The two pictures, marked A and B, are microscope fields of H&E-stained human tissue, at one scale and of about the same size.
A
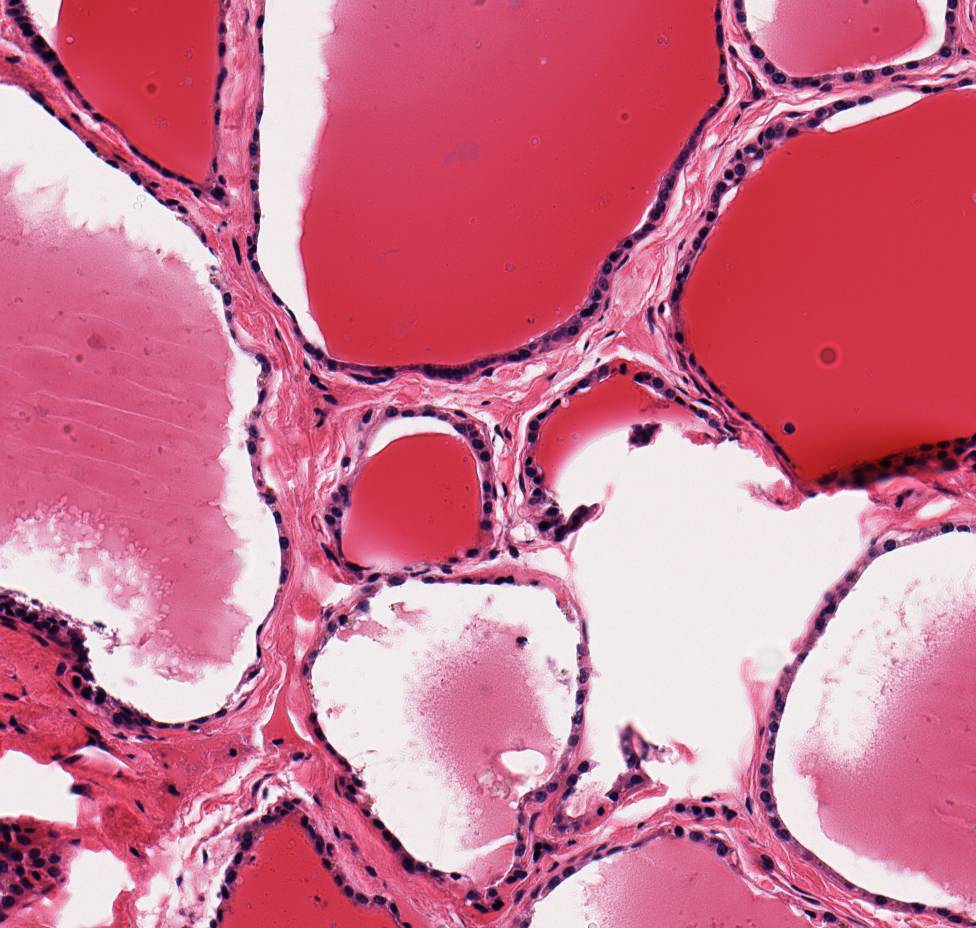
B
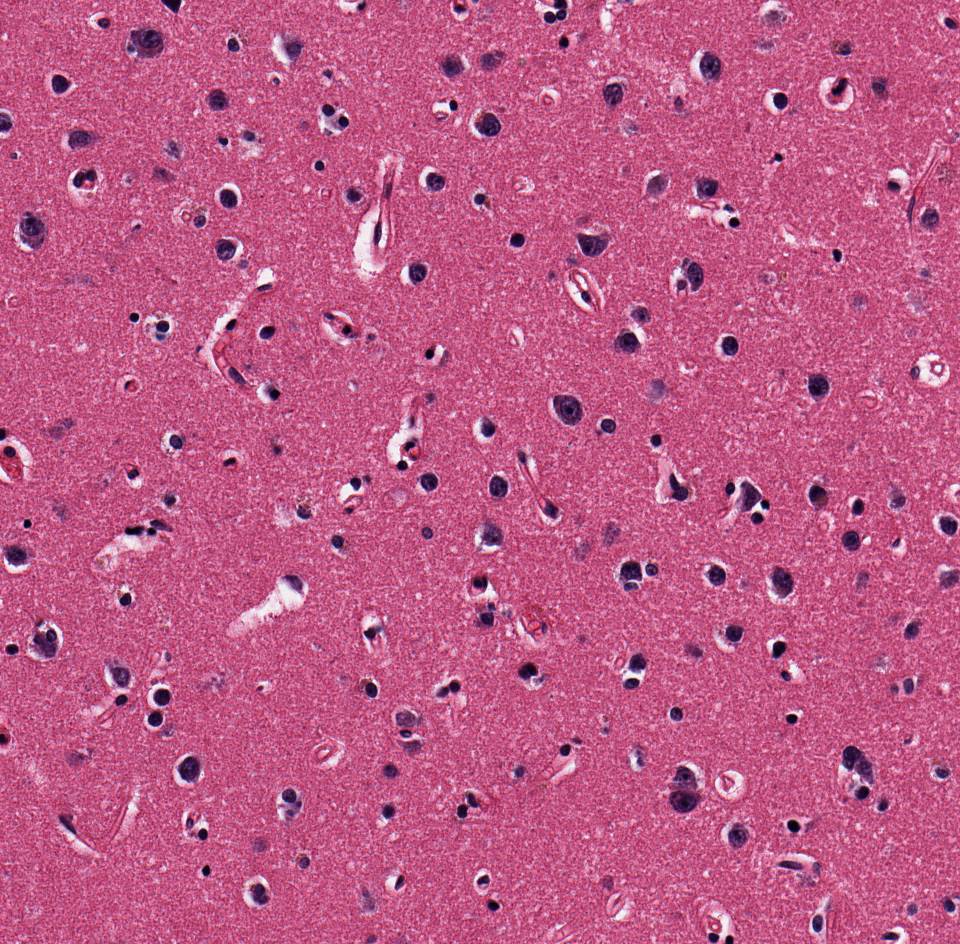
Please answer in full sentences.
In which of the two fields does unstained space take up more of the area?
Picture A has more white space.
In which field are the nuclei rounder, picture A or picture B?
It is picture B whose nuclei are the rounder.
